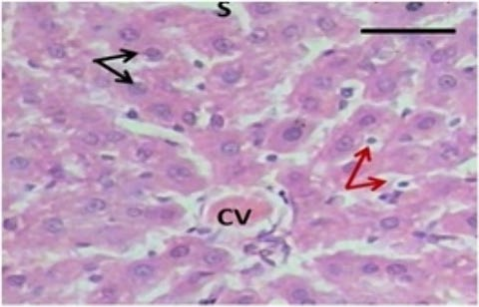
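The hepatocytes are polygonal with pale pink cytoplasm and round, central, vesicular nuclei. Narrow sinusoids separate the cords. A few cells show smaller, darker nuclei.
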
